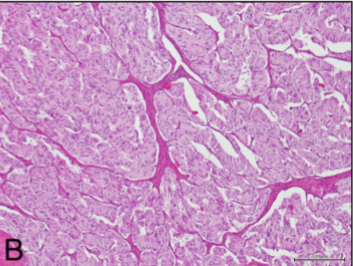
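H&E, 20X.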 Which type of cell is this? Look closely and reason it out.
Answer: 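Epithelioid cellular elements. Polygonal cells with pale pink cytoplasm fill the field. Cells are grouped in nests separated by thin pink septa. Nuclei are round to oval and fairly uniform.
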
